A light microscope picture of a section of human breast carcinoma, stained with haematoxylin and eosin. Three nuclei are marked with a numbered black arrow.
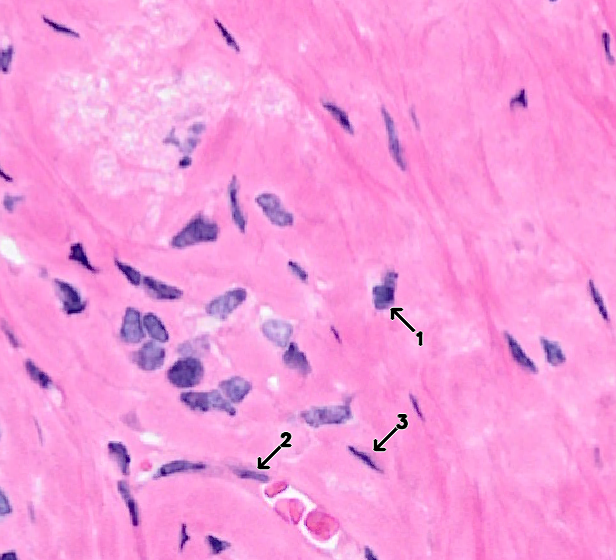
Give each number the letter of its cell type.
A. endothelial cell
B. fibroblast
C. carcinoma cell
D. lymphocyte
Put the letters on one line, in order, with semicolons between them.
D; A; B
